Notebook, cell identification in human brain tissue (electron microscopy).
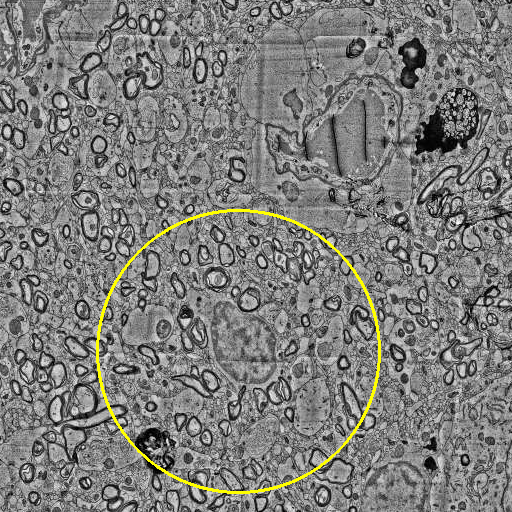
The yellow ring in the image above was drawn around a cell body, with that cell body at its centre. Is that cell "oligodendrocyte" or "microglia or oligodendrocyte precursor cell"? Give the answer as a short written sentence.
The cell in the ring is an oligodendrocyte.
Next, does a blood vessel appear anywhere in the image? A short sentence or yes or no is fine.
Yes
